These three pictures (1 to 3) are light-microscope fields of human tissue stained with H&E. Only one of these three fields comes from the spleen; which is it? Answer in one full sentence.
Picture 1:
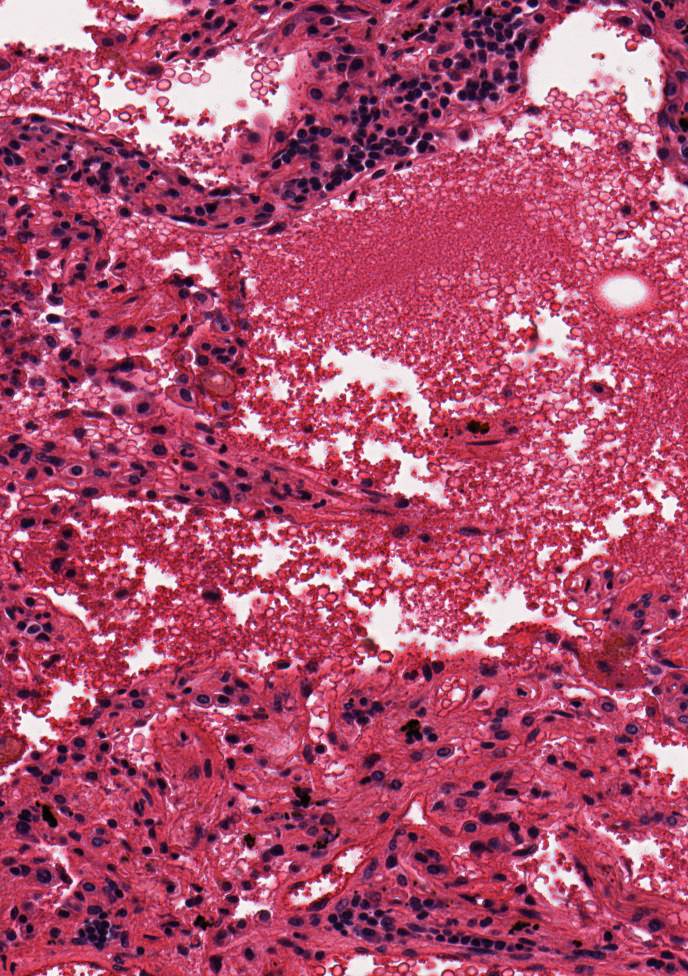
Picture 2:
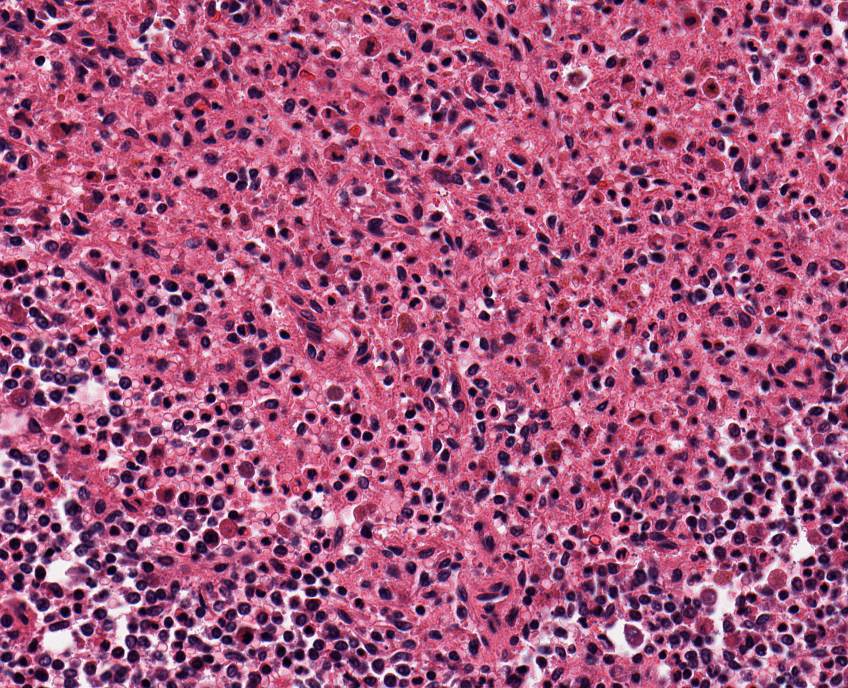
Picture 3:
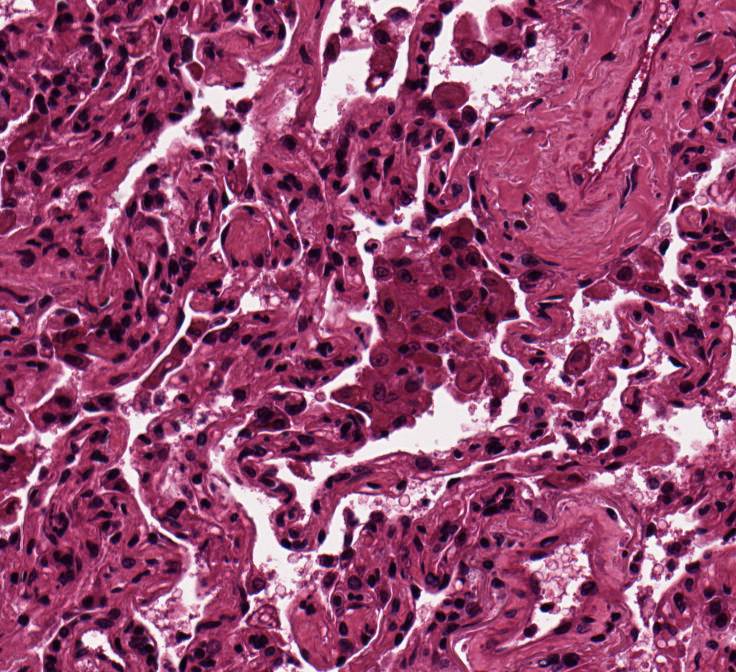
The one that comes from the spleen is picture 2.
